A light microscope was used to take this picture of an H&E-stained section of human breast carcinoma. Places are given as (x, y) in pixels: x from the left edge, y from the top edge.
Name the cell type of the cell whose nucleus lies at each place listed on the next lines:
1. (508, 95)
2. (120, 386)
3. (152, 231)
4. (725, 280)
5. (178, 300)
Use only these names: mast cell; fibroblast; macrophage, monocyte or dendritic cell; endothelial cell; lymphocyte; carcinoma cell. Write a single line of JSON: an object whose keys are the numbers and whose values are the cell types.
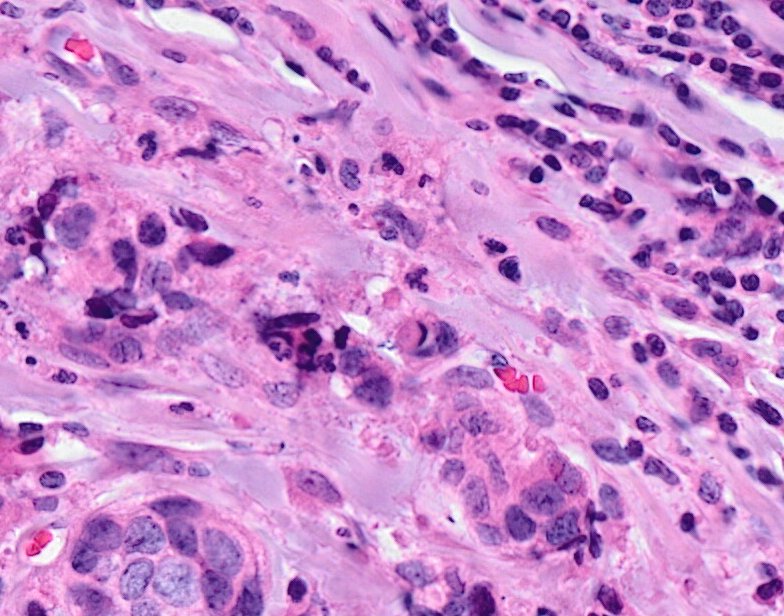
{"1": "lymphocyte", "2": "fibroblast", "3": "carcinoma cell", "4": "lymphocyte", "5": "carcinoma cell"}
